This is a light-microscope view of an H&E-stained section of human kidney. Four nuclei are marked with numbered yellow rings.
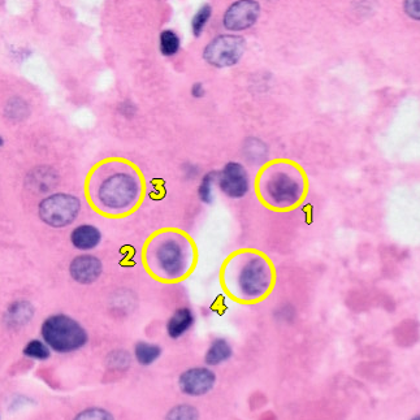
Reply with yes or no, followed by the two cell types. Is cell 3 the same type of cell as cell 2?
No, a proximal tubule cell is what cell 3 is, and a loop of Henle or distal tubule cell is what cell 2 is.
